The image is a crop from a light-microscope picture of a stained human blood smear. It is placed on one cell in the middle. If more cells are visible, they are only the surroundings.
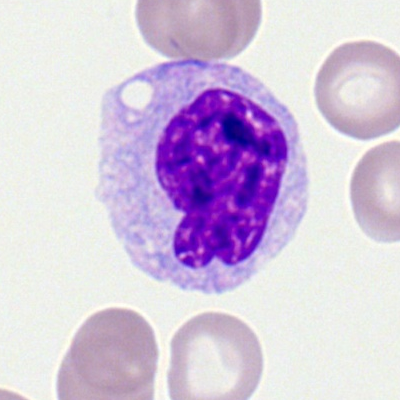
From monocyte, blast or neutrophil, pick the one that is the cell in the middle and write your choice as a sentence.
The centrally positioned cell in the crop represents a monocyte.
